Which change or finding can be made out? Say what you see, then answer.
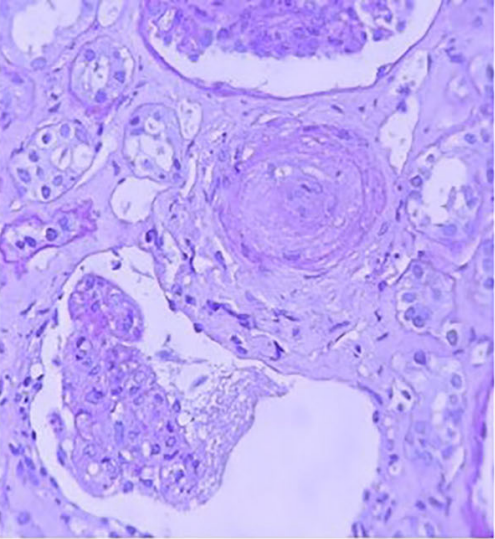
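A small round vessel in the centre-right is made of many concentric layers. Elongated cells are arranged in circles around the vessel centre. No open lumen is visible in the centre of the vessel.
Concentric myointimal proliferation in an “onion-skin” pattern.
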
